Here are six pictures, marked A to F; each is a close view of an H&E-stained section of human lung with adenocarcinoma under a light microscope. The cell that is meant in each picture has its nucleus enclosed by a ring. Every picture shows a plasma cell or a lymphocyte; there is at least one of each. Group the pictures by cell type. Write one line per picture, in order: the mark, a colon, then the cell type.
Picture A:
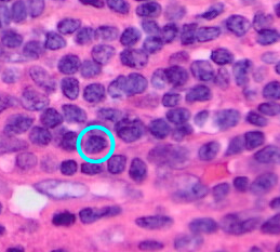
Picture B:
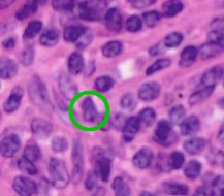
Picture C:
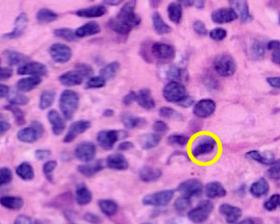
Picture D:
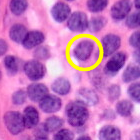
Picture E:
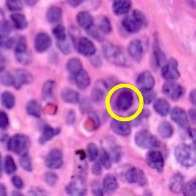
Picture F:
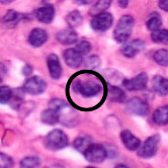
A: lymphocyte
B: lymphocyte
C: plasma cell
D: lymphocyte
E: plasma cell
F: lymphocyte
